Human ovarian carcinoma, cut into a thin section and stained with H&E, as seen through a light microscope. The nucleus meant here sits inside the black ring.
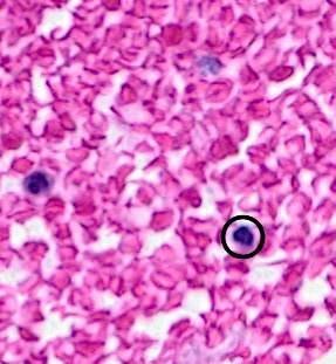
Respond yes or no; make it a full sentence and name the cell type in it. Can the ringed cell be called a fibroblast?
No, the ringed cell qualifies as a lymphocyte and does not qualify as a fibroblast.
